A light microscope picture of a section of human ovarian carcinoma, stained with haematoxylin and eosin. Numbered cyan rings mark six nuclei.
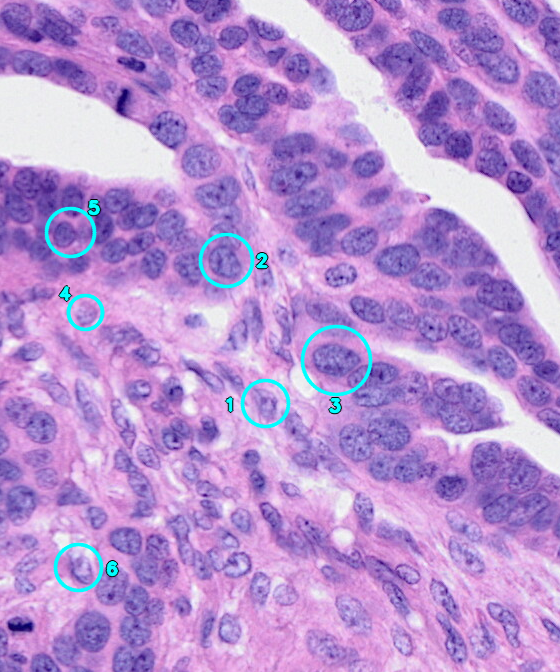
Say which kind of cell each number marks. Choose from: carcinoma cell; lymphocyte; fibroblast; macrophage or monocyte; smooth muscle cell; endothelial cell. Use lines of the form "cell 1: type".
cell 1: fibroblast
cell 2: carcinoma cell
cell 3: carcinoma cell
cell 4: fibroblast
cell 5: carcinoma cell
cell 6: fibroblast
